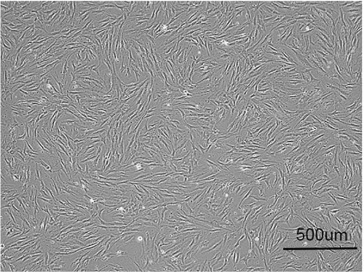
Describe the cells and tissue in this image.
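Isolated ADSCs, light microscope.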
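The cells are spindle-like: elongated, slender bodies tapering at both ends, with fine bright edges. They lie closely packed and partly aligned in parallel streams and whorls across the field. A few small round refractile cells or debris sit scattered on top of the monolayer. No stained structures are present; contrast comes only from the cell outlines.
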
